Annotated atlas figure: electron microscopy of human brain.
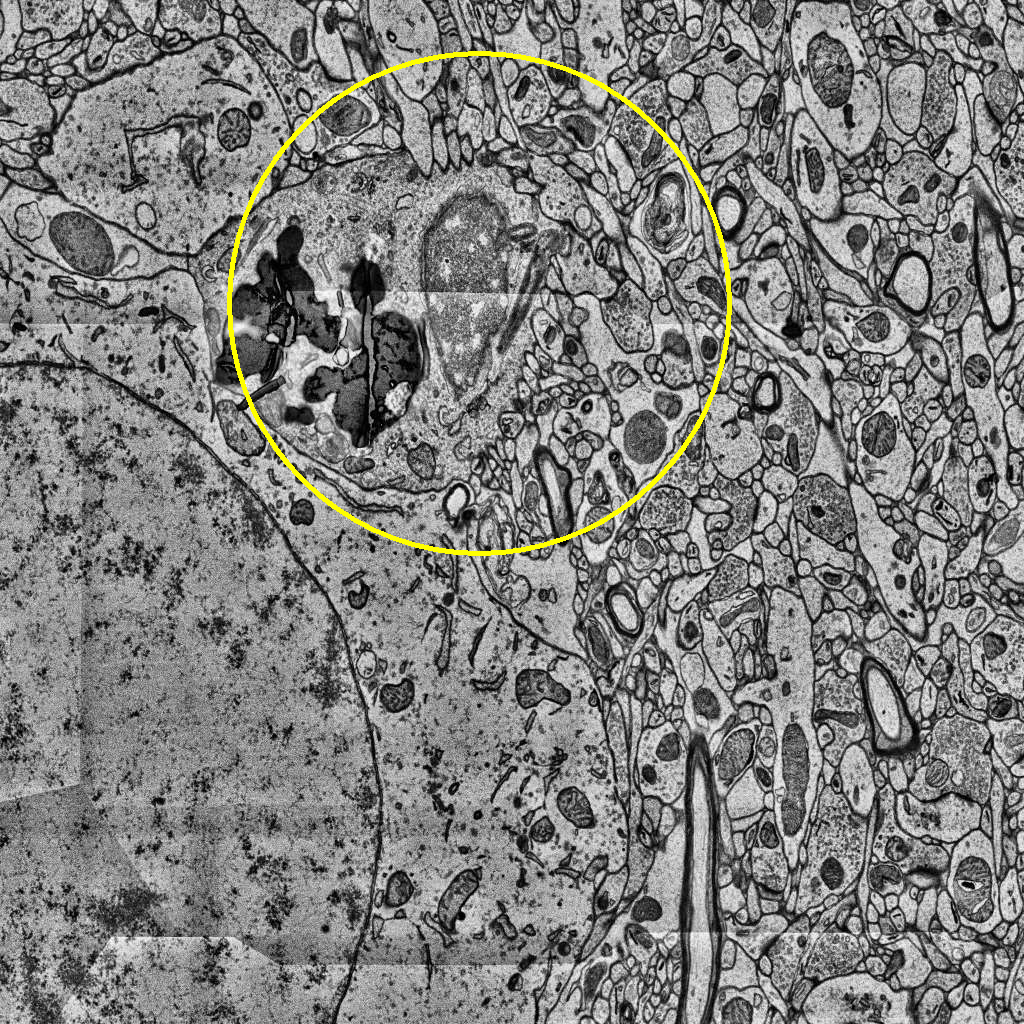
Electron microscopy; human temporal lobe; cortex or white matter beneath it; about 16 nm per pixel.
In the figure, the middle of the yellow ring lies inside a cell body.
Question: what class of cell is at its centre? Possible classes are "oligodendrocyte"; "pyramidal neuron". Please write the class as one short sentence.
The yellow ring's centre lies in an oligodendrocyte.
